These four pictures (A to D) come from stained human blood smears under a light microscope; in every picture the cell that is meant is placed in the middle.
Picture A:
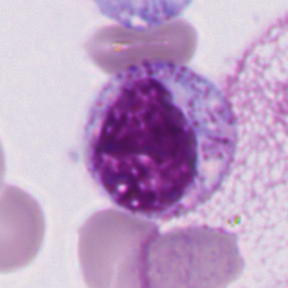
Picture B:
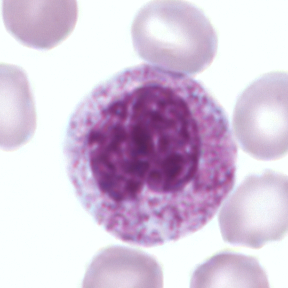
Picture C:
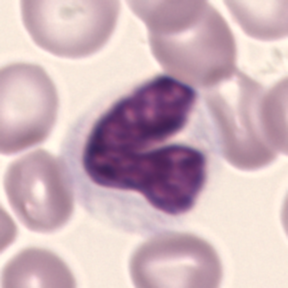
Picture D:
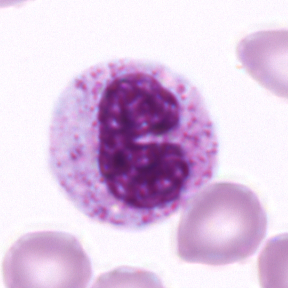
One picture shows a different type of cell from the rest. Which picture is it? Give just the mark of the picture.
A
